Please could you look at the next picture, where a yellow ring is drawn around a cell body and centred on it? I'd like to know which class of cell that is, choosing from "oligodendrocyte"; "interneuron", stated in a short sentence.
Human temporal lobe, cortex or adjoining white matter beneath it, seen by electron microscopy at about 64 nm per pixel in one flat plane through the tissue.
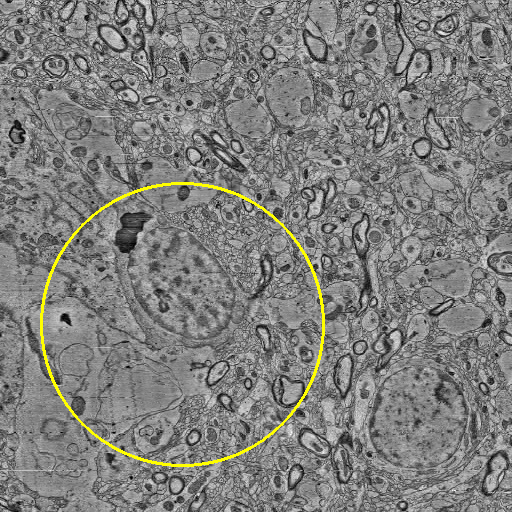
The ring's centre lies on an oligodendrocyte.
